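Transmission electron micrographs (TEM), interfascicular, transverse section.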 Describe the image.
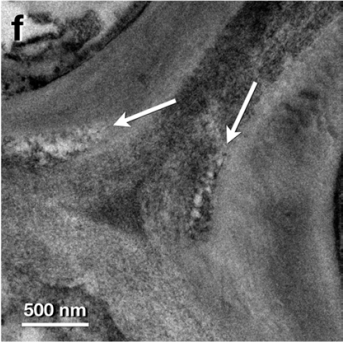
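This shows fiber cell walls meeting at a cell corner in cross section. A dark, dense triangular junction sits where the walls of neighbouring cells meet, and from it the thick, finely layered secondary walls curve away around each cell. The layered wall material itself appears mottled in places, with streaky texture instead of an even grey.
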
